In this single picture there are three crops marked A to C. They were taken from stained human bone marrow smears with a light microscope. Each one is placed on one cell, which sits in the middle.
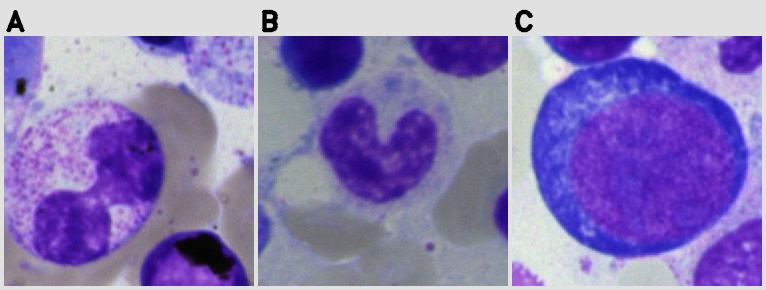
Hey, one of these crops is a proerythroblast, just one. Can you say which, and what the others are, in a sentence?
Crop C holds a proerythroblast at its centre, while crop A is a segmented neutrophil and crop B is a band neutrophil.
